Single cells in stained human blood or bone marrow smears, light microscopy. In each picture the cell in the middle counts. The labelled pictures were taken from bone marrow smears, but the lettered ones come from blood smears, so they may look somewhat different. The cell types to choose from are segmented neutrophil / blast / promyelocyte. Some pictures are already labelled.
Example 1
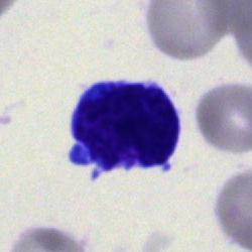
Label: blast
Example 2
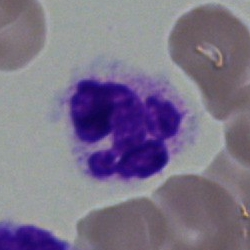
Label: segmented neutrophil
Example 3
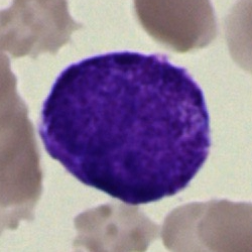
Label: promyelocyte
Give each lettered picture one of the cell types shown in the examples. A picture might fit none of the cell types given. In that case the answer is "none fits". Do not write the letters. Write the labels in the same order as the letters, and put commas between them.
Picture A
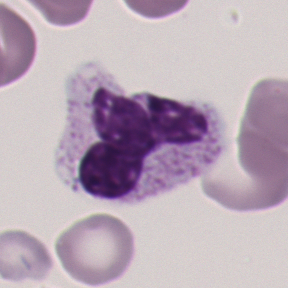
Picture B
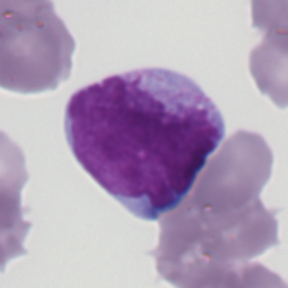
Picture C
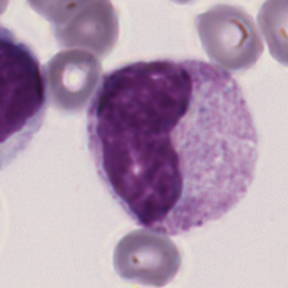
segmented neutrophil, blast, none fits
